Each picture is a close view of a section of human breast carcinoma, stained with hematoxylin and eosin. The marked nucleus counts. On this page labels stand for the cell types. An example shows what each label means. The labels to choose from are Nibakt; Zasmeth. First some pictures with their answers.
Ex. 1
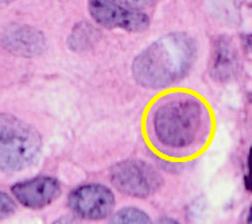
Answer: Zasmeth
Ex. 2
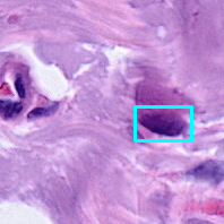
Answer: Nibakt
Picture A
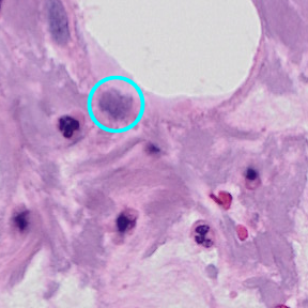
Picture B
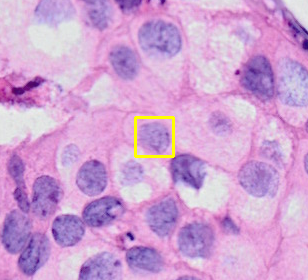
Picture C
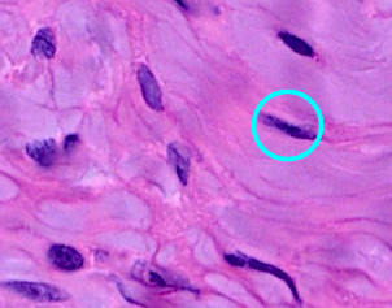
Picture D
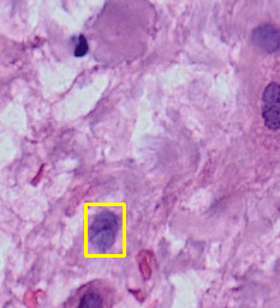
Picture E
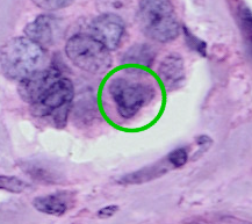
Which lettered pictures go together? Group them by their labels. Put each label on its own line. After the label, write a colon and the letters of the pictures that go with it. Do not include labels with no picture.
Nibakt: A, C, D
Zasmeth: B, E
